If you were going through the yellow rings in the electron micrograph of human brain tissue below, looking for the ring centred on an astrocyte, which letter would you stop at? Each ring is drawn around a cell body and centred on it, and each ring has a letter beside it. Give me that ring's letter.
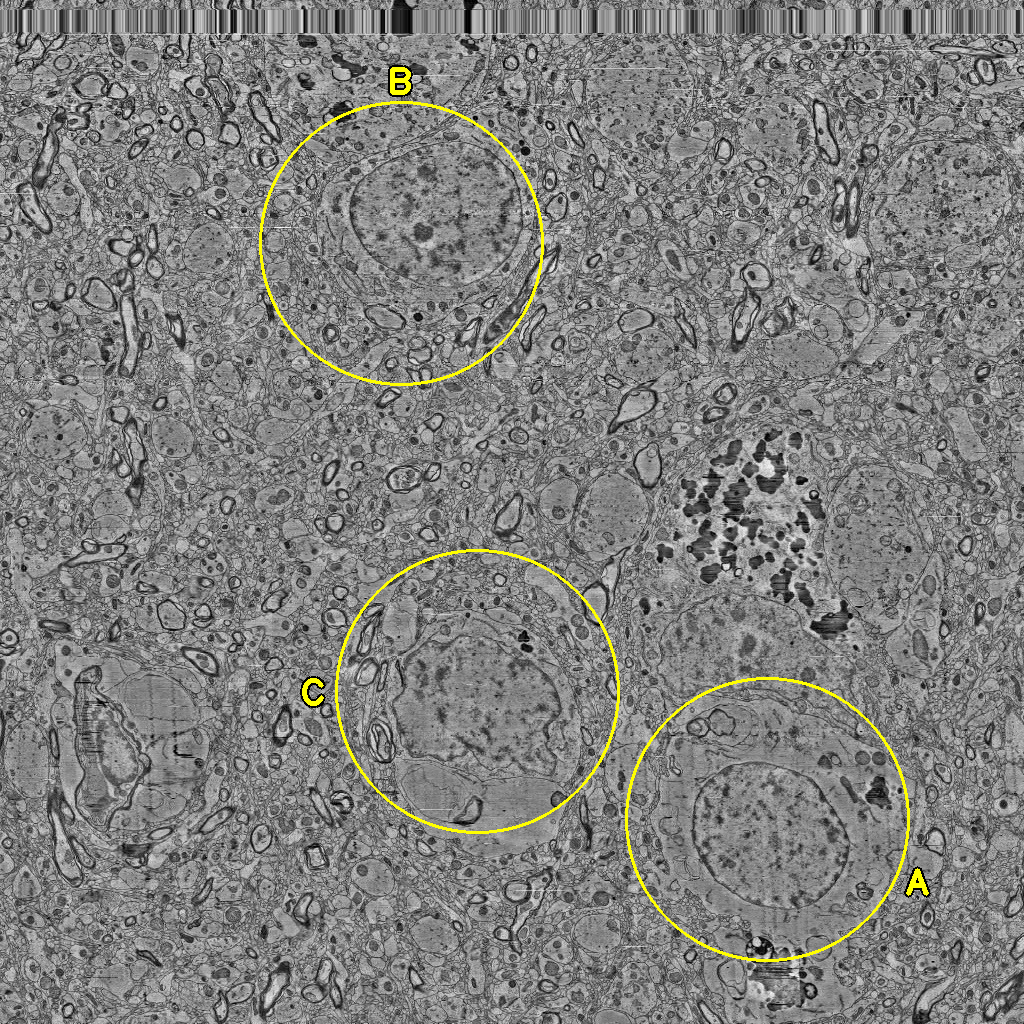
A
